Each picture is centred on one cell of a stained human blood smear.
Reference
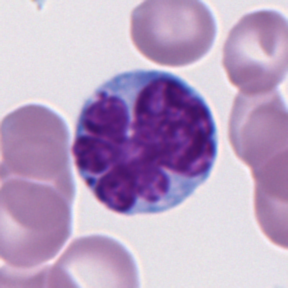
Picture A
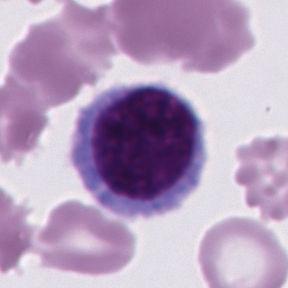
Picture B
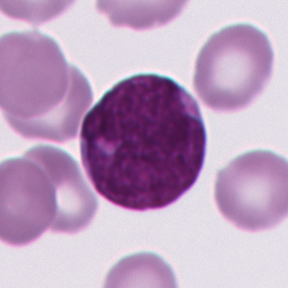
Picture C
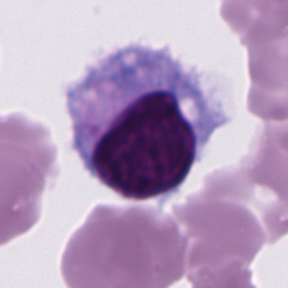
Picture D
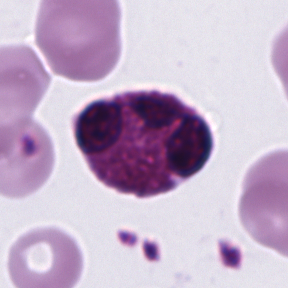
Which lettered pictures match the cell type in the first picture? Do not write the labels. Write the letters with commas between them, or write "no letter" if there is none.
B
